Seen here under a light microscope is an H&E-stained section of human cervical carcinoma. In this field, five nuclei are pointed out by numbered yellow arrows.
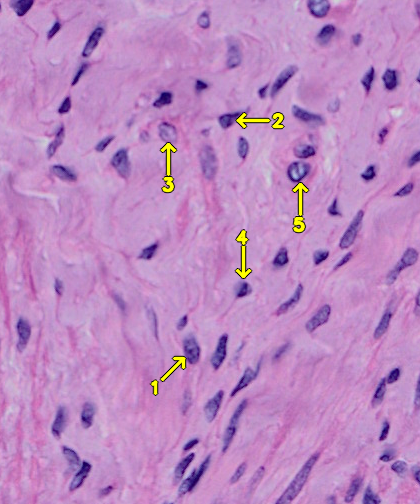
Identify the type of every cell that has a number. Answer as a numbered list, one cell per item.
1. fibroblast
2. fibroblast
3. smooth muscle cell
4. fibroblast
5. endothelial cell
